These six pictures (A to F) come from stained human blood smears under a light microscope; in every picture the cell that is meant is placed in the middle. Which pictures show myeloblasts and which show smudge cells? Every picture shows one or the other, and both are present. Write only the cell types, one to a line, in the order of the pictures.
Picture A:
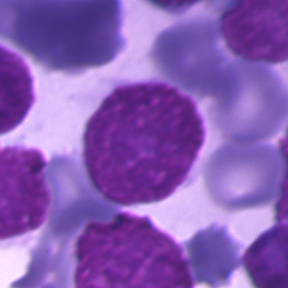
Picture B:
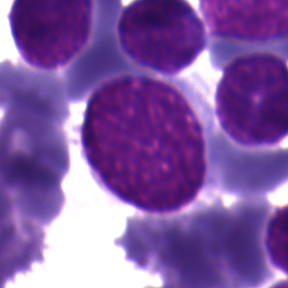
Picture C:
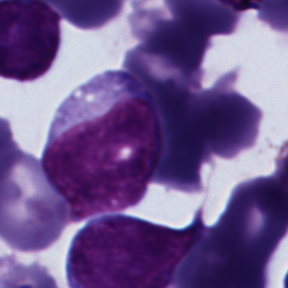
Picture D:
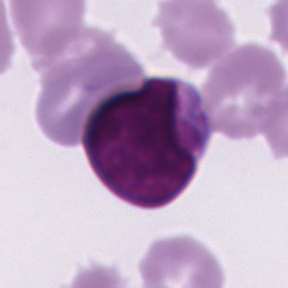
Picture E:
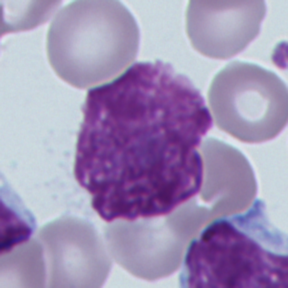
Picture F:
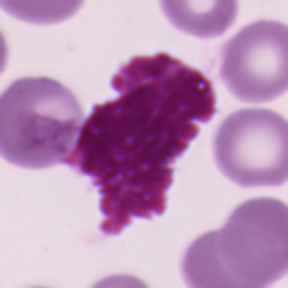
smudge cell
myeloblast
myeloblast
myeloblast
smudge cell
smudge cell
